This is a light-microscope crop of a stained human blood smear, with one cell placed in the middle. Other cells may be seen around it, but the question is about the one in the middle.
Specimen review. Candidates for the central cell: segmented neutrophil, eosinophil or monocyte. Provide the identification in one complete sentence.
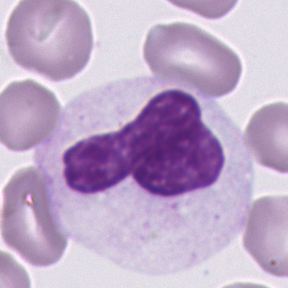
In the center of this field lies a segmented neutrophil.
